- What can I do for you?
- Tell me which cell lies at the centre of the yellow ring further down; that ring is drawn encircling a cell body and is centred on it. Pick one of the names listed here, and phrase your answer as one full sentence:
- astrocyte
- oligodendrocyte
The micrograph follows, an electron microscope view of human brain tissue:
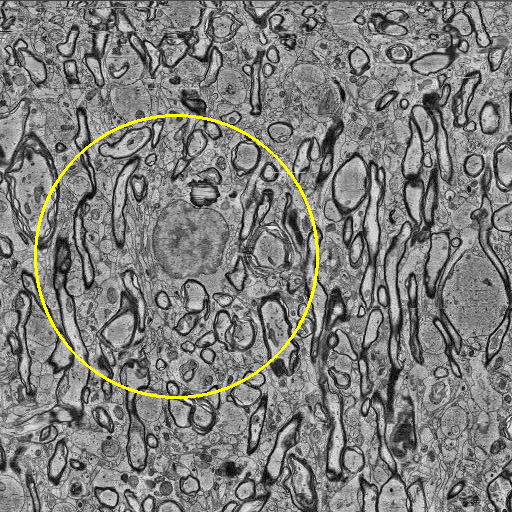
The cell whose body lies at the centre of the yellow ring is an oligodendrocyte.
